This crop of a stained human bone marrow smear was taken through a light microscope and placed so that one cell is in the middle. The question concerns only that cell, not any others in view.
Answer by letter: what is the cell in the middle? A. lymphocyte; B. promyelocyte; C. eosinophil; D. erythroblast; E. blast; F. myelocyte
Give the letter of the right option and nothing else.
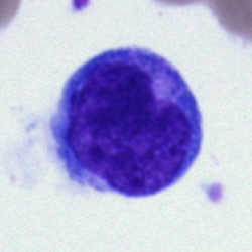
E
